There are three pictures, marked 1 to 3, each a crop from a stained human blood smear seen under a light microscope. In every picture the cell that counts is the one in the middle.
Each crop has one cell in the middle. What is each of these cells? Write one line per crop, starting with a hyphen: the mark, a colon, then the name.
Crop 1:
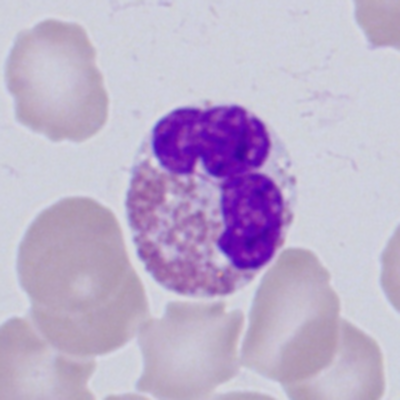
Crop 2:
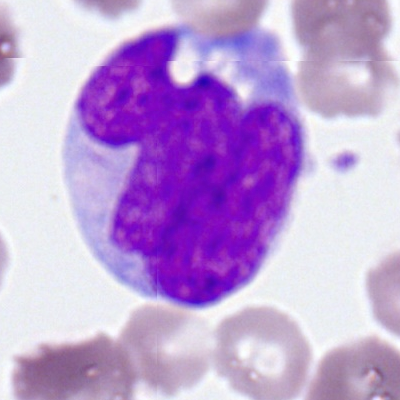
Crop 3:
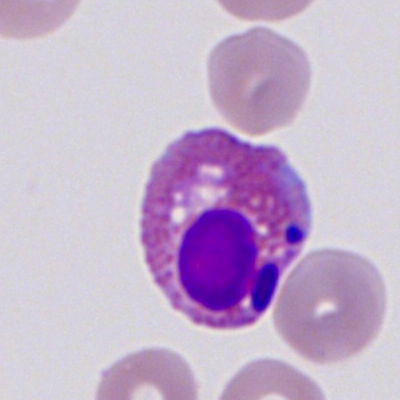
- 1: eosinophil
- 2: monocyte
- 3: eosinophil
